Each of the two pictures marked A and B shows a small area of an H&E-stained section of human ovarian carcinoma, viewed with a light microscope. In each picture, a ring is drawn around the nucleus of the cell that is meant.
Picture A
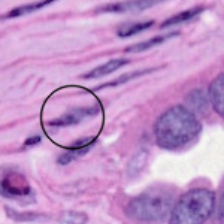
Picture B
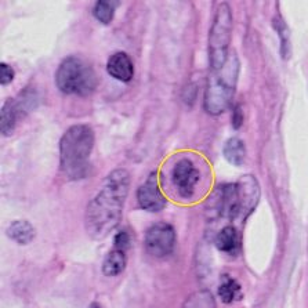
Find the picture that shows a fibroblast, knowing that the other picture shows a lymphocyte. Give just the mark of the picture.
A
